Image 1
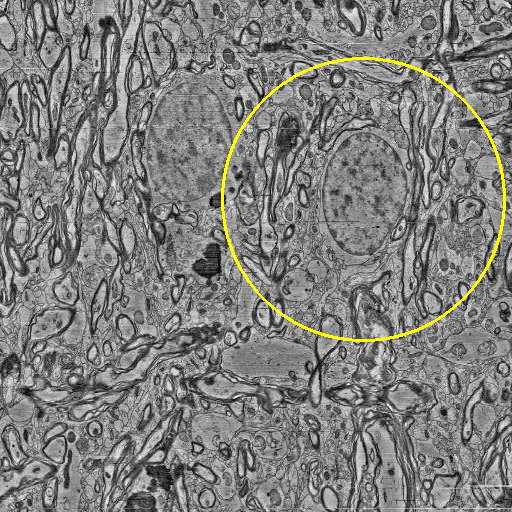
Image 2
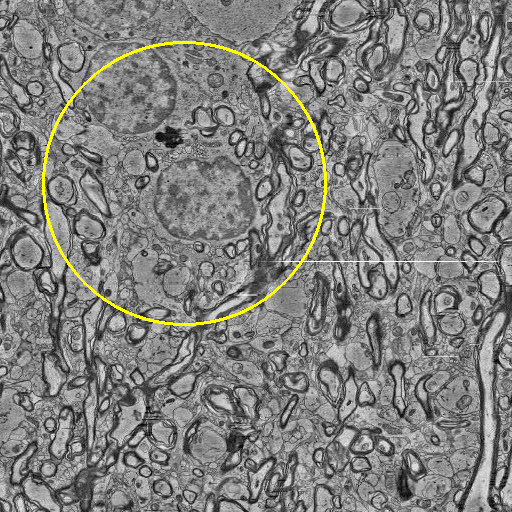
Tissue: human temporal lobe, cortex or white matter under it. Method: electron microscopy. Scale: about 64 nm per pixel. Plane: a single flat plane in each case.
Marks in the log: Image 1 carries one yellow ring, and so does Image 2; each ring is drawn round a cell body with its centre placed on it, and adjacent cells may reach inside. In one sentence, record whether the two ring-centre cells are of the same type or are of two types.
The two cells at the ring centres, one in each image, are of two types.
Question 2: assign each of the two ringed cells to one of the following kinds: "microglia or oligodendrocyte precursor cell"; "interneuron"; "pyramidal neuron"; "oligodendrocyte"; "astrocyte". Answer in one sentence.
The two cells are a microglial cell or oligodendrocyte precursor cell in the first picture and an oligodendrocyte in the second.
